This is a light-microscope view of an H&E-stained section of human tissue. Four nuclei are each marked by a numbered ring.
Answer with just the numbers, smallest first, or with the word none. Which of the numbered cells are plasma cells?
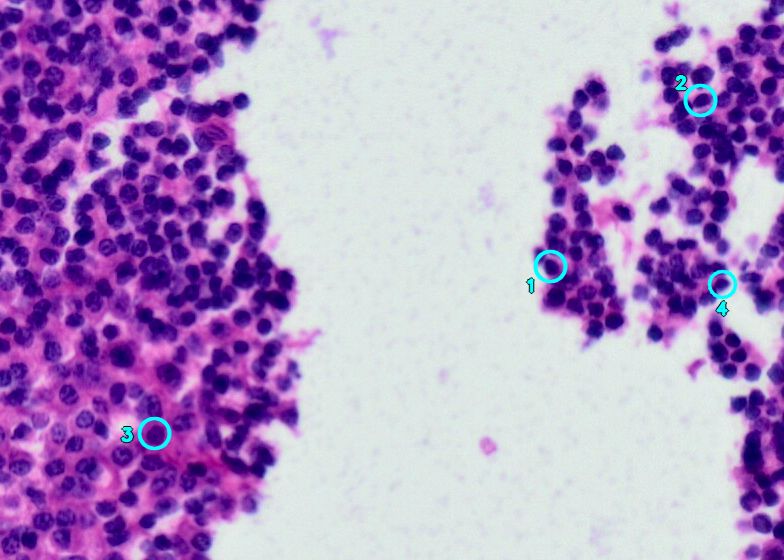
3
